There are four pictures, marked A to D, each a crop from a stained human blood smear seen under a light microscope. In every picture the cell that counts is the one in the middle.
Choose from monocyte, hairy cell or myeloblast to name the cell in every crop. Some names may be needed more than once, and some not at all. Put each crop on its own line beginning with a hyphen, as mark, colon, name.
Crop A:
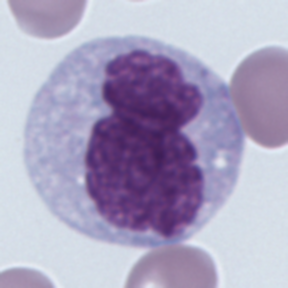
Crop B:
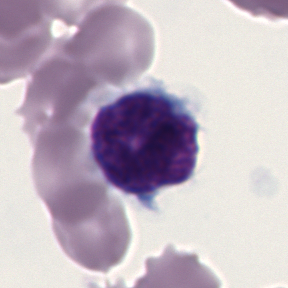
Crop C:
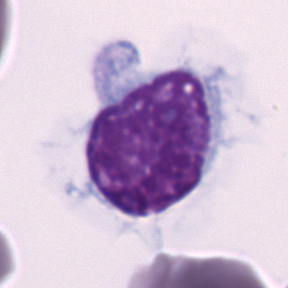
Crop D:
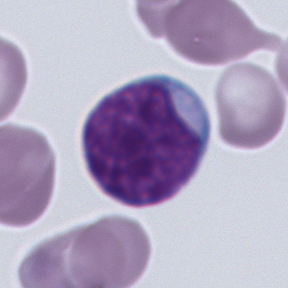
- A: monocyte
- B: hairy cell
- C: hairy cell
- D: myeloblast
